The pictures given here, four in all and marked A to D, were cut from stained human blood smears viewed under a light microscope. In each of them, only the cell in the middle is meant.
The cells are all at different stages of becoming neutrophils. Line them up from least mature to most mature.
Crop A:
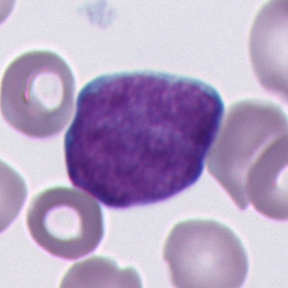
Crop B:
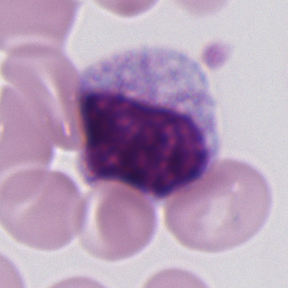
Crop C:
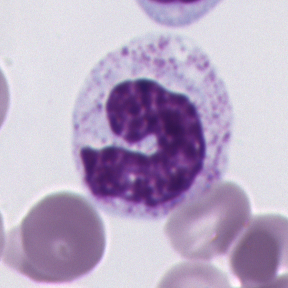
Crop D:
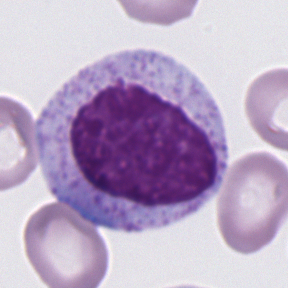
A, D, B, C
